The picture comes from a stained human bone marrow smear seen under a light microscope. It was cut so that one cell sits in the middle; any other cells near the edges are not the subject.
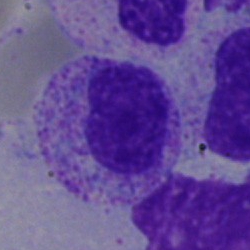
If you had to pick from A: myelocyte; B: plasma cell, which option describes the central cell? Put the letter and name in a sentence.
Answer key: option A, the middle cell being a myelocyte.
